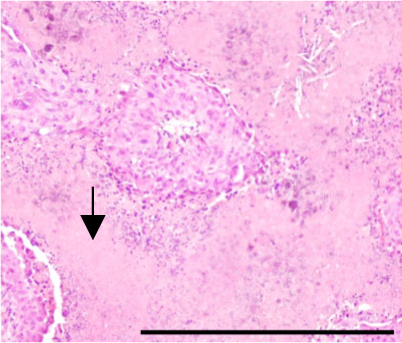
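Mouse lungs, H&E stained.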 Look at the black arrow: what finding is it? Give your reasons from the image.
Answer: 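The arrow points into a pale, smooth pink area with almost no nuclei. Denser tissue with scattered nuclei lies above and beside this pale area. So: necrosis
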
